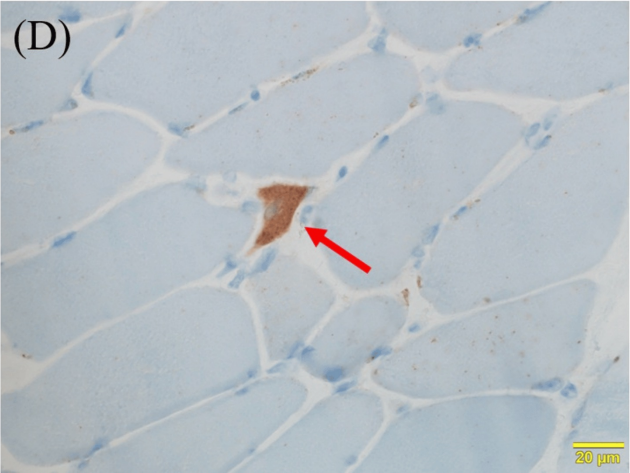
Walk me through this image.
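This is a transverse section of skeletal muscle at higher magnification with pale blue counterstained fibers. One small angular fiber at the centre, marked by the arrow, is filled with dense brown stain. The other fibers are larger, rounded to polygonal and largely unstained, with a few fine brown dots in some of them. Small blue nuclei lie at the fiber edges and in the spaces between fibers.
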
